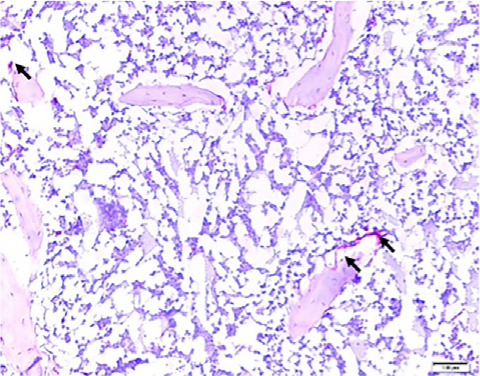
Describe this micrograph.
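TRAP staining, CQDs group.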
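Only a few magenta-red osteoclasts are visible, sitting at the edges of the bone fragments. The trabeculae here are thin, isolated pieces rather than a connected network. The marrow cells are small and closely packed, with pale spaces scattered among them.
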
